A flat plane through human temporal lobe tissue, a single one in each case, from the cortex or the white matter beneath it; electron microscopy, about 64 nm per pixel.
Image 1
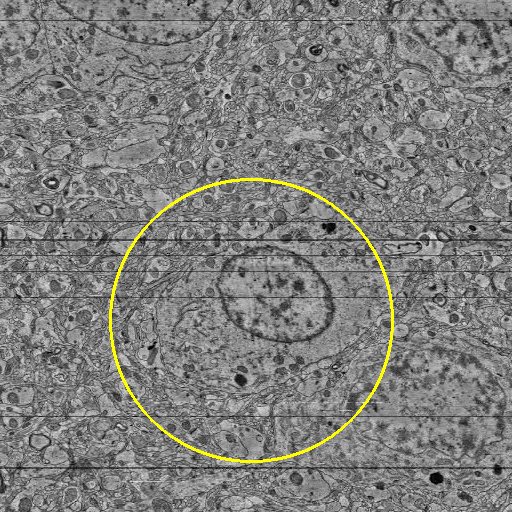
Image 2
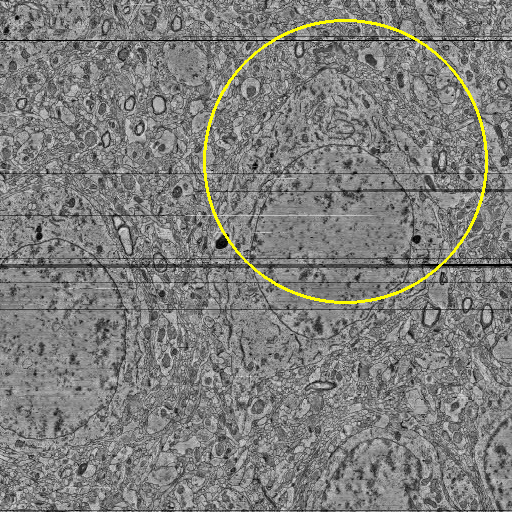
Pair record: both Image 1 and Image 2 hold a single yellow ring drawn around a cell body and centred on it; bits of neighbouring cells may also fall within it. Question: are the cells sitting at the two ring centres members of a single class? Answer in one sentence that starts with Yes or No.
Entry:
Yes, both ring-centre cells in Image 1 and Image 2 are members of one class.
